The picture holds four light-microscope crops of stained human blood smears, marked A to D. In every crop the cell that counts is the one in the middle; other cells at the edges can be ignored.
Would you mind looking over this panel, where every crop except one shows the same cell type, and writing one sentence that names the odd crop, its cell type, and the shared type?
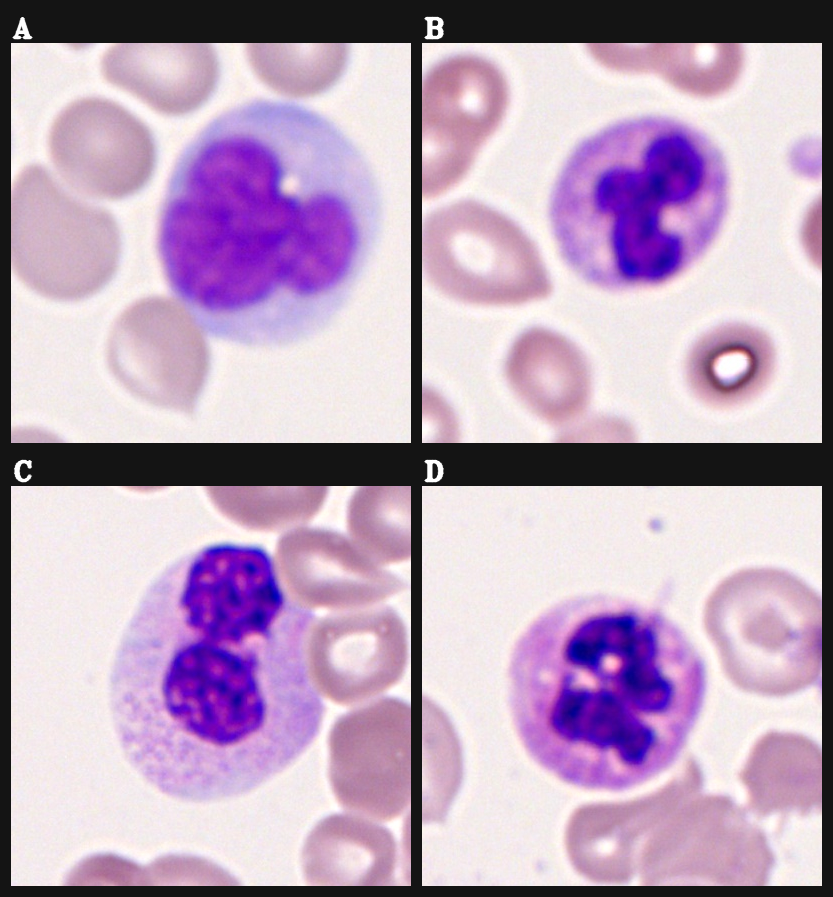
Crop A is a monocyte, and the other crops all show segmented neutrophils.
